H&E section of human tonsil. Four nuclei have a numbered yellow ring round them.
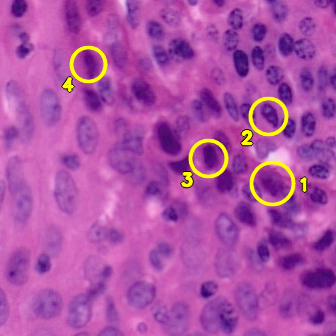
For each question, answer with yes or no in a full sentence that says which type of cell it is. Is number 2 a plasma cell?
Yes, on this slide, the cell with number 2 is a plasma cell.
